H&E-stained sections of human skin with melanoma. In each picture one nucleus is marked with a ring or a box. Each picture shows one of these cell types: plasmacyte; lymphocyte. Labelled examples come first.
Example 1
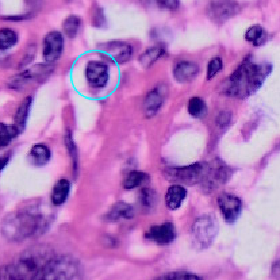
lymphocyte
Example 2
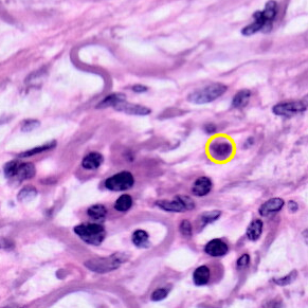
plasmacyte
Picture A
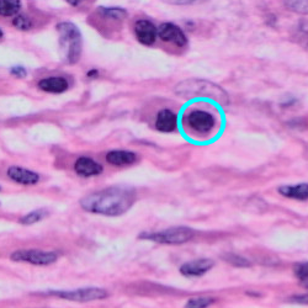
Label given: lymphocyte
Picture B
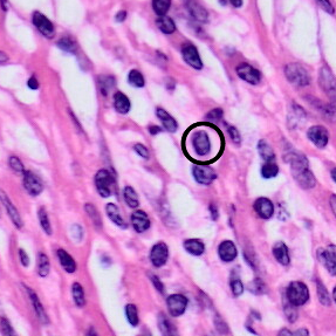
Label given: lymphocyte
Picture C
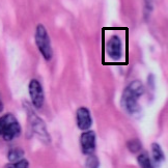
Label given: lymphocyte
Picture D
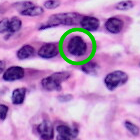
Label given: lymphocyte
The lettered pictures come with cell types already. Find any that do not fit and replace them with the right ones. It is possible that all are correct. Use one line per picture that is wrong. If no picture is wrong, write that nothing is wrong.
A is labelled lymphocyte; correct label: plasmacyte
D is labelled lymphocyte; correct label: plasmacyte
